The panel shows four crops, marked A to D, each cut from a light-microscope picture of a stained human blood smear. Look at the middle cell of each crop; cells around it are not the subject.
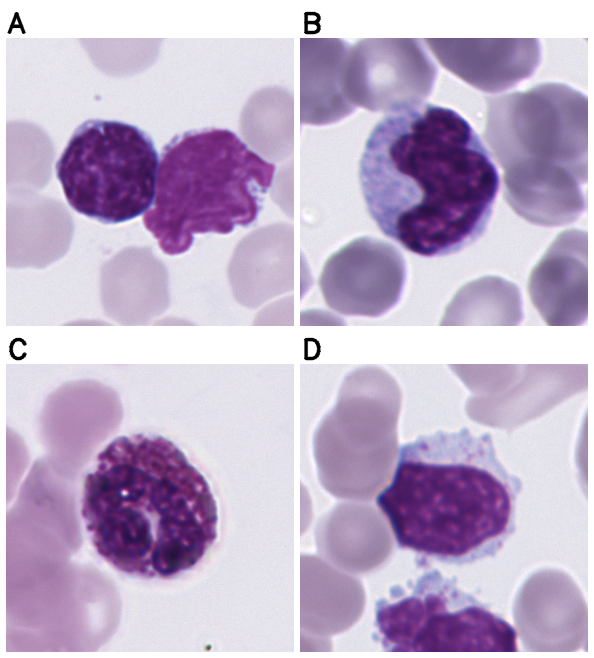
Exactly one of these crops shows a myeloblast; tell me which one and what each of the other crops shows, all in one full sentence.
With respect to crop A, the cell is a myeloblast, whereas crop B is a monocyte, crop C is an eosinophil and crop D is a large granular lymphocyte.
